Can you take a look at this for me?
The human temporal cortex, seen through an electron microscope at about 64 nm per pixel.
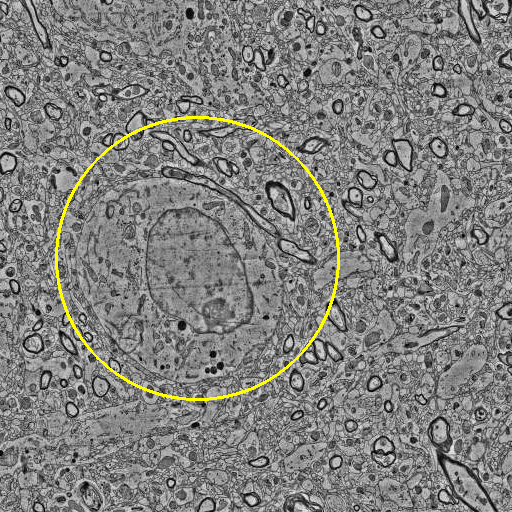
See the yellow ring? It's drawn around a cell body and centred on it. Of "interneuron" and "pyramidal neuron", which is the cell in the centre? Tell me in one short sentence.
The one in the centre is a pyramidal neuron.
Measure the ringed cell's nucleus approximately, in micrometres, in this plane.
Roughly 9 by 6 micrometres is the size of the nucleus in this plane.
